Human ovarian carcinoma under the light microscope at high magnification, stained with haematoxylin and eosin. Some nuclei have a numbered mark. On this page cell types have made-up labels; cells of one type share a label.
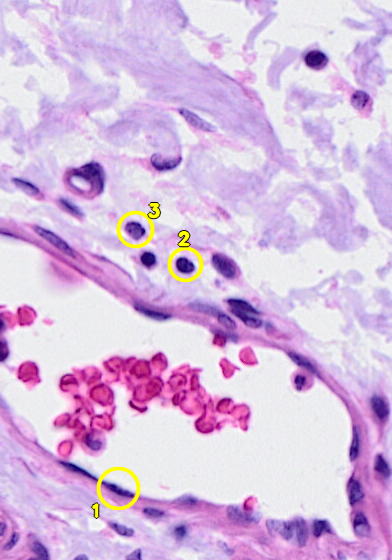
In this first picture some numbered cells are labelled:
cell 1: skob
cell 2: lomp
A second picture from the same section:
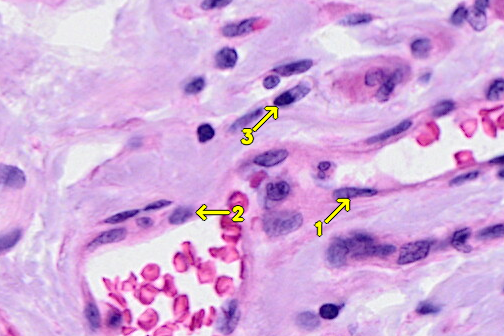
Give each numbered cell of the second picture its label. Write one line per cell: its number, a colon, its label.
1: skob
2: skob
3: lomp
